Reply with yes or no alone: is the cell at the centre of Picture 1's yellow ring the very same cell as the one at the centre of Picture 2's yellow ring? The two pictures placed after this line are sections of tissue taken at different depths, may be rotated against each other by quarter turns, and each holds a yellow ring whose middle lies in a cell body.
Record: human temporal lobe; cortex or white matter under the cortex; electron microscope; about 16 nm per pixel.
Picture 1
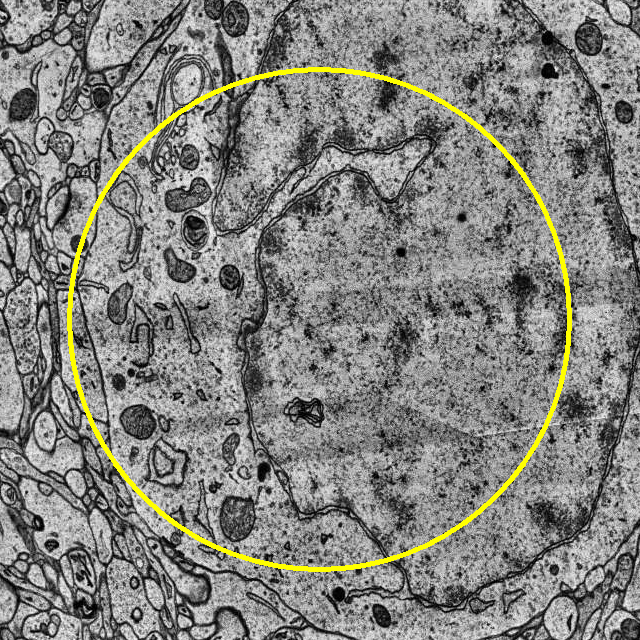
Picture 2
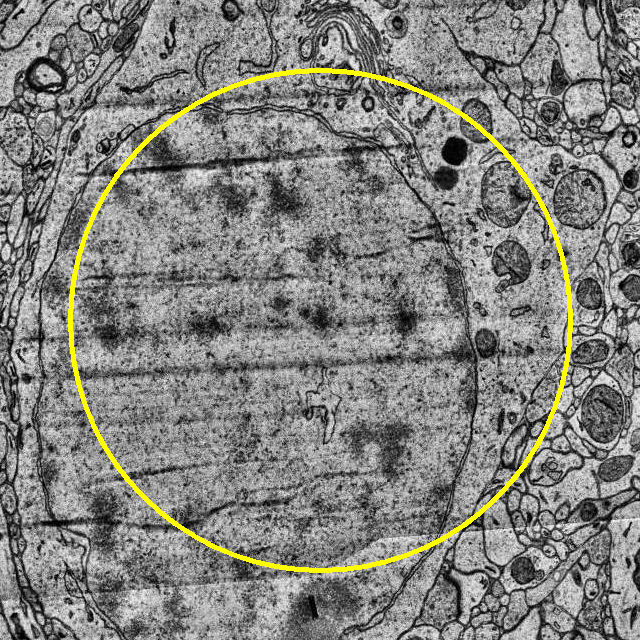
no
